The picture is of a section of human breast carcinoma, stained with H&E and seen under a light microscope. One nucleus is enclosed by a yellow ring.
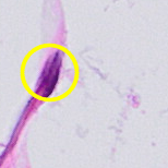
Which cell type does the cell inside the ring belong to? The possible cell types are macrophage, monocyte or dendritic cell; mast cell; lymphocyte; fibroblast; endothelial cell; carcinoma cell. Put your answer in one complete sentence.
The cell meant here is an endothelial cell.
